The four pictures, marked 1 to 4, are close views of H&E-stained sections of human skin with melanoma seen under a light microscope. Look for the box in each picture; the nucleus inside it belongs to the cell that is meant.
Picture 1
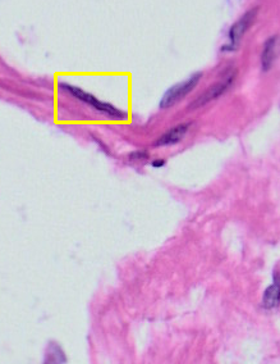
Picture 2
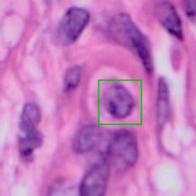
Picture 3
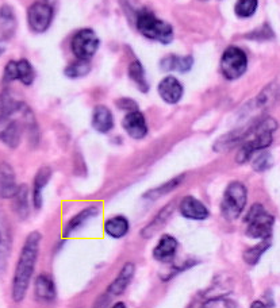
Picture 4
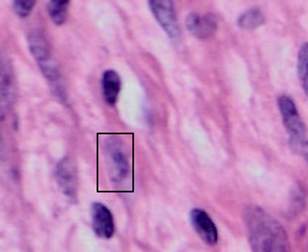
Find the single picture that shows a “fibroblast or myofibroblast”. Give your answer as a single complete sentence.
Picture 4 shows the “fibroblast or myofibroblast”.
